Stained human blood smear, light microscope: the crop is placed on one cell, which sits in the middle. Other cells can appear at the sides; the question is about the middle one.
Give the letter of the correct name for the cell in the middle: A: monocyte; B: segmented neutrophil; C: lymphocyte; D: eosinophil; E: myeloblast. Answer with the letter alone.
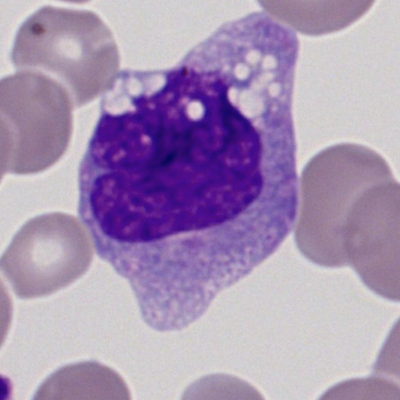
A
